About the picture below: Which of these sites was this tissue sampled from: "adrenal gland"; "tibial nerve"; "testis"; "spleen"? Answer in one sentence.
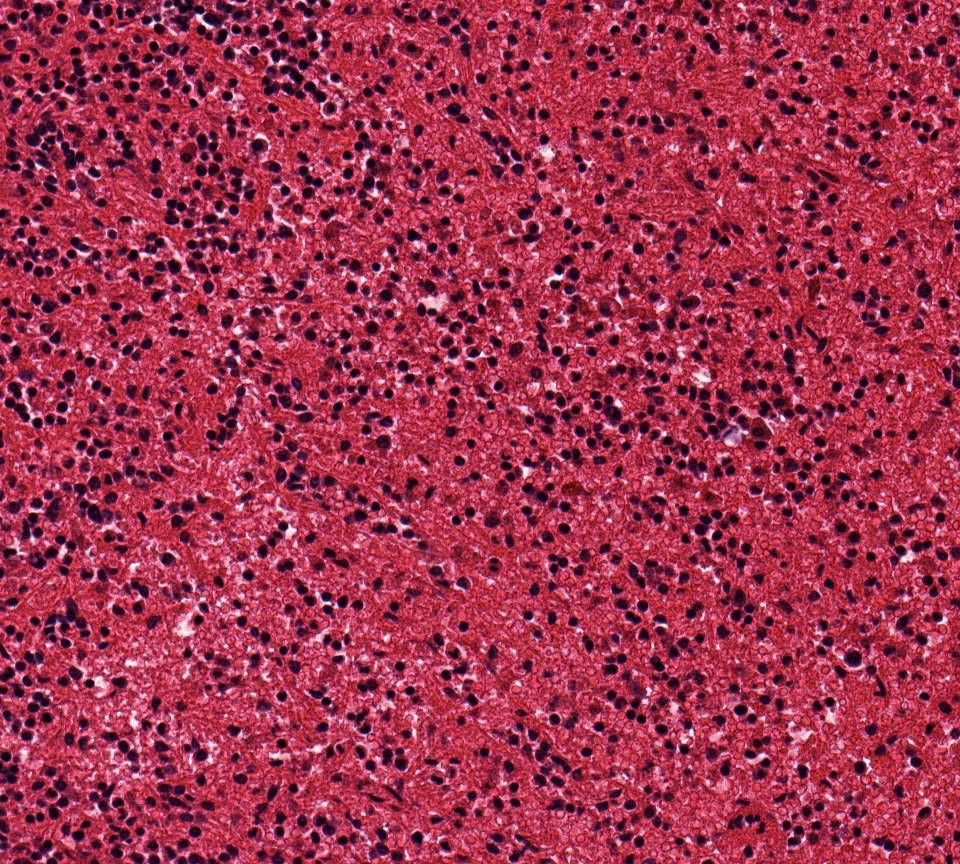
The site this tissue was sampled from is the spleen.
